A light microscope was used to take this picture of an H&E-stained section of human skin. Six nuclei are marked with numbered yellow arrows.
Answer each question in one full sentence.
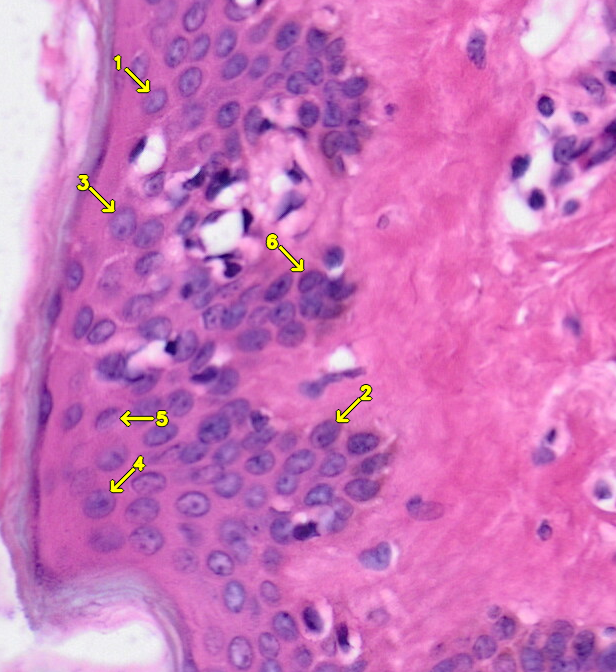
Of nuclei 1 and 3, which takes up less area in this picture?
Nucleus 1 covers less area, with nucleus 3 about 1.5 times as large.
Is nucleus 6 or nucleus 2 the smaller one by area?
It is nucleus 6; nucleus 2 has about 2 times its area.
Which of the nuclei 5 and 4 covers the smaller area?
Nucleus 5 is the smaller one; nucleus 4 covers about 1.5 times its area.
